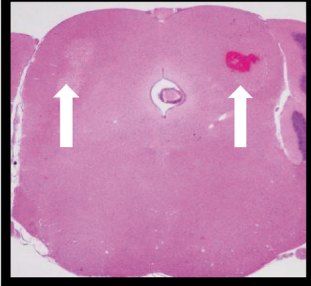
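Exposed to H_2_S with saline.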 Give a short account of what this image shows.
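This is a low-power cross-section through the dorsal midbrain at the level of the inferior colliculus, with the central canal-like opening near the middle. Most of the tissue stains an even pink. On each side of the upper part there is a focal lesion: on the left a paler, washed-out patch where the tissue looks less dense, and on the right a bright red patch that stands out sharply against the pink background. Near the midline a thin pale streak runs downward. At this magnification single neurons cannot be told apart, so the lesions are recognised by their change in colour and texture compared with the surrounding tissue.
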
